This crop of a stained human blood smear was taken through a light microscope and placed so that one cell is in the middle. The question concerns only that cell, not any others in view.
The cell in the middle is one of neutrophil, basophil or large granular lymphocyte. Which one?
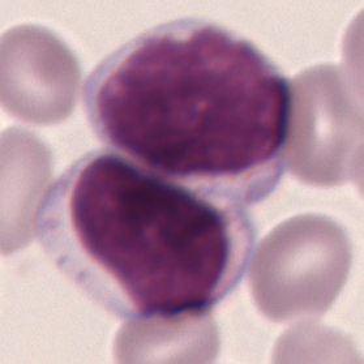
large granular lymphocyte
